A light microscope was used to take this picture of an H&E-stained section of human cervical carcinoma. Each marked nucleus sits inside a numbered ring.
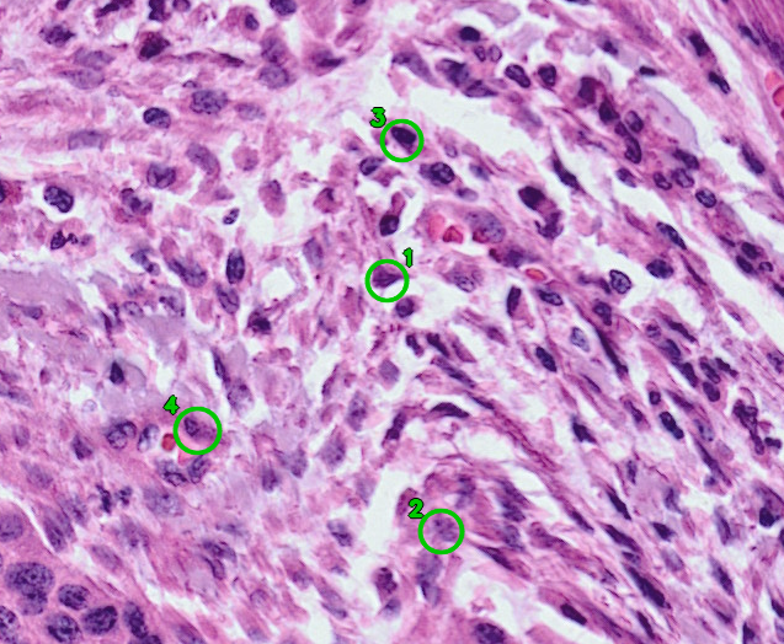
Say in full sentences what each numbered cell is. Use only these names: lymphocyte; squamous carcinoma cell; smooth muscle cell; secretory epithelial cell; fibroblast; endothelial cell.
Cells 1 and 2 are fibroblasts. Cell 3 is a lymphocyte. Cell 4 is an endothelial cell.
